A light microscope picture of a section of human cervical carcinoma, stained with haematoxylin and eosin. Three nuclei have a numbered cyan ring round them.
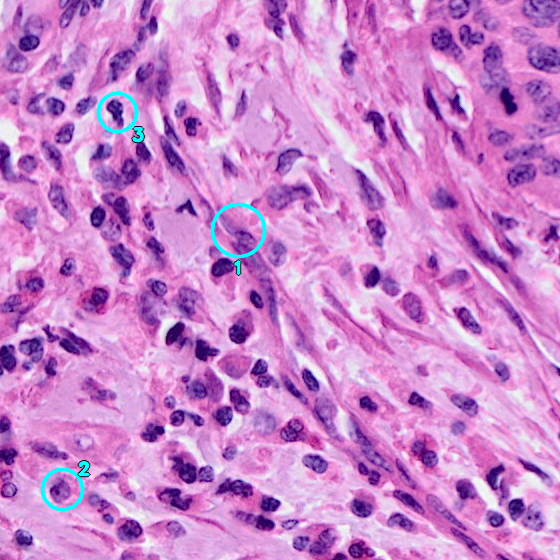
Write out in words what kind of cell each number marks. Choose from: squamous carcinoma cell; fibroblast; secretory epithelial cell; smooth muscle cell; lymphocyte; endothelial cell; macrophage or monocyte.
Cell 1 is an endothelial cell, cell 2 is a macrophage or monocyte and cell 3 is a lymphocyte.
